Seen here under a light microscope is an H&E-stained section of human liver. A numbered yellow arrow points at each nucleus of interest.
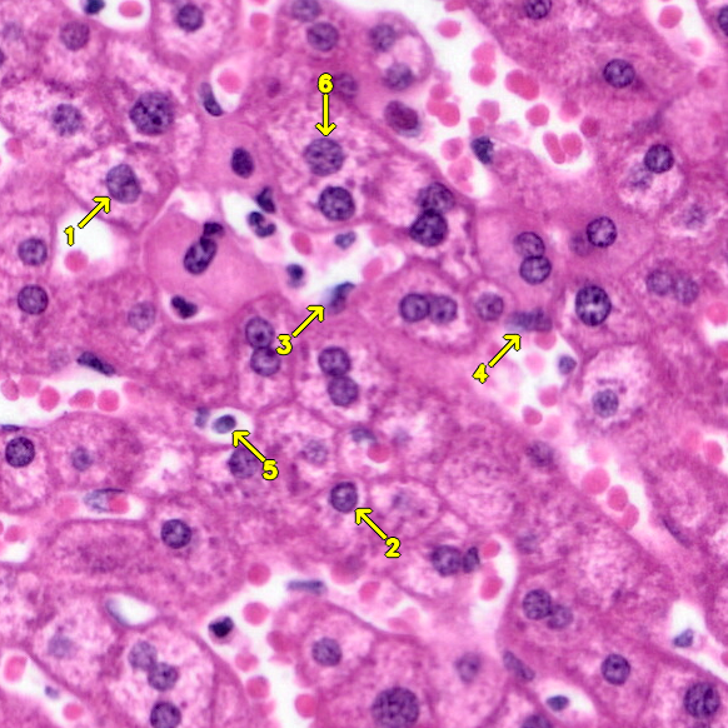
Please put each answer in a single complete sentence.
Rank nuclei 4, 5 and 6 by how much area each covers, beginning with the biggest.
Largest first, the order by area is 6, 4, 5.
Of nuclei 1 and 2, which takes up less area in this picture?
It is nucleus 2; nucleus 1 has about 1.5 times its area.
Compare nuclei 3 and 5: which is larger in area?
Nucleus 3 is the larger one, covering about 2.5 times the area of nucleus 5.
